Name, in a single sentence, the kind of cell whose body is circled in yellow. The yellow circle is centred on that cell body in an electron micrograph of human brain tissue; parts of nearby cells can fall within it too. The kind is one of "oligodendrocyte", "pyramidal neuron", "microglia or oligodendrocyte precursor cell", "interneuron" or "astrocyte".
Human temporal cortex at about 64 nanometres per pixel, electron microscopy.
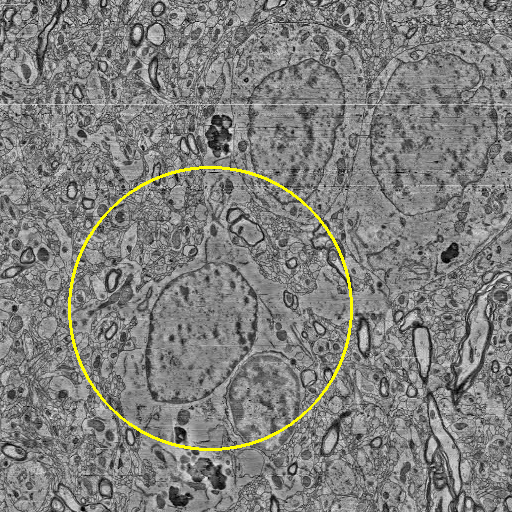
The circled cell body belongs to an astrocyte.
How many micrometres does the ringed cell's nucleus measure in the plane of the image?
The ringed cell's nucleus measures approximately 10 by 7 micrometres in this plane.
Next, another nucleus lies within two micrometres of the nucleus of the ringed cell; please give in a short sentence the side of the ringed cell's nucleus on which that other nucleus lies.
The other nucleus sits to the lower right of it.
